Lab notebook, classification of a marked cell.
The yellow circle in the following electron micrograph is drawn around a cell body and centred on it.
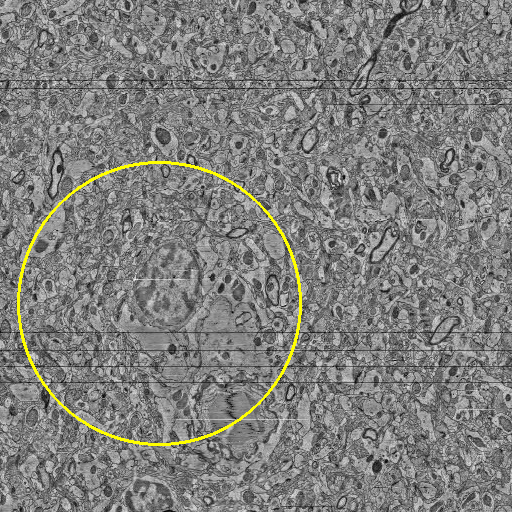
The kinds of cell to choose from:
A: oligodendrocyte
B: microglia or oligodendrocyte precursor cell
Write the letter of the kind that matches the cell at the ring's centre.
A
